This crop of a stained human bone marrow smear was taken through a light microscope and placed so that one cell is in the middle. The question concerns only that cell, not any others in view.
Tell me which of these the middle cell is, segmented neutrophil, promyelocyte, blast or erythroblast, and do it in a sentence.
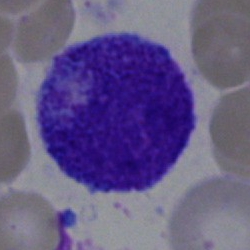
The centered cell in this crop is a promyelocyte.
